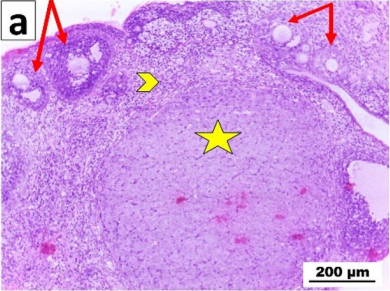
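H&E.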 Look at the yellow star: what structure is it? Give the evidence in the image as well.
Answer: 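A large rounded mass of pale pink, closely packed cells occupies the centre of the section. It lacks an oocyte and an antral cavity. Small follicles lie at the periphery around it. That points to this answer: corpus luteum.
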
